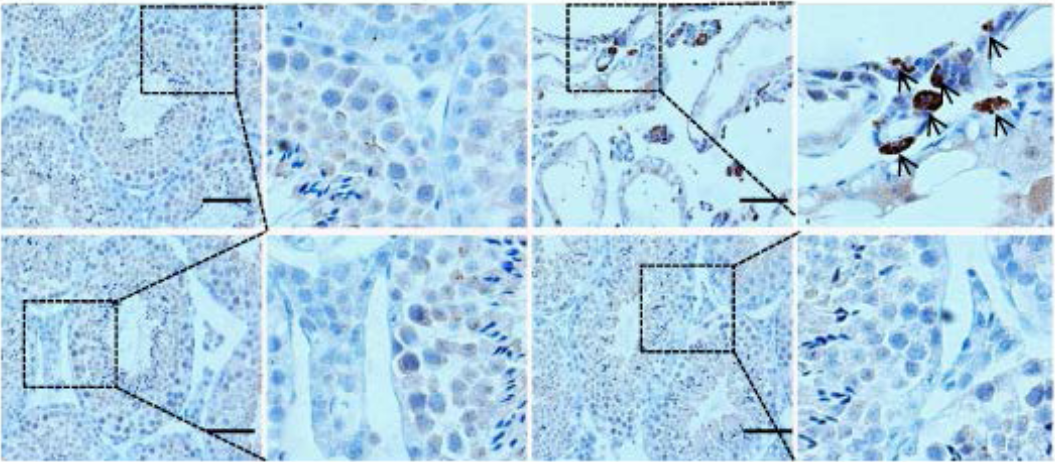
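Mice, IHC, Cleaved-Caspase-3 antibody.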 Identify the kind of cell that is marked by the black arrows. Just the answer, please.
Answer: Leydig cells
